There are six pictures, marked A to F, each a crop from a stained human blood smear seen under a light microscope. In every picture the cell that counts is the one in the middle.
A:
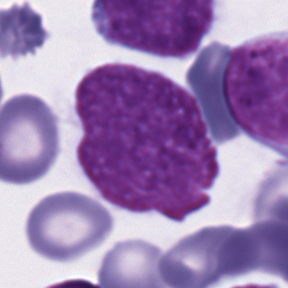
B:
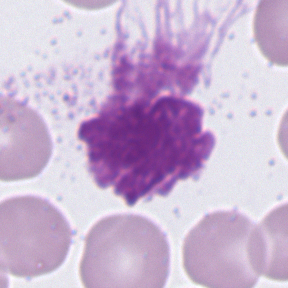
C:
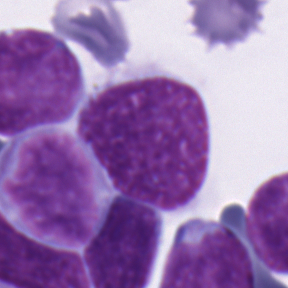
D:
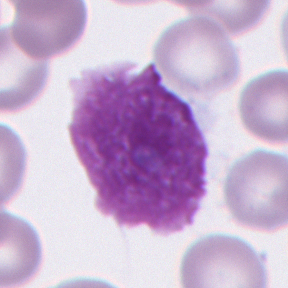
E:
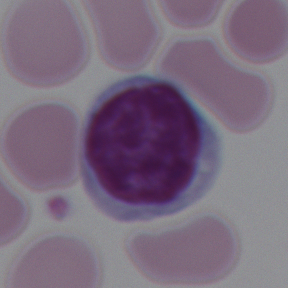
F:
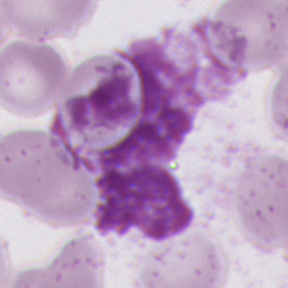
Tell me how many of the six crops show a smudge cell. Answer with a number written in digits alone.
4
